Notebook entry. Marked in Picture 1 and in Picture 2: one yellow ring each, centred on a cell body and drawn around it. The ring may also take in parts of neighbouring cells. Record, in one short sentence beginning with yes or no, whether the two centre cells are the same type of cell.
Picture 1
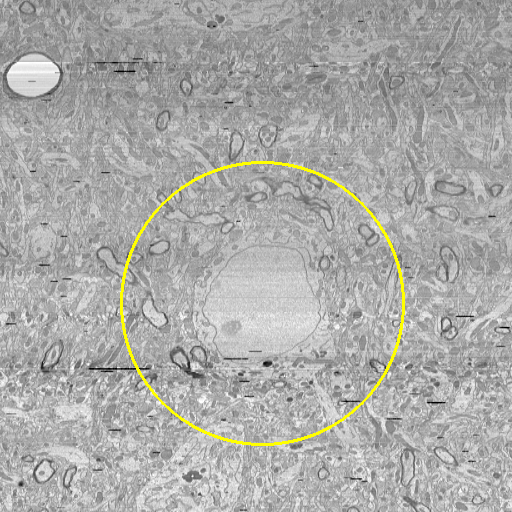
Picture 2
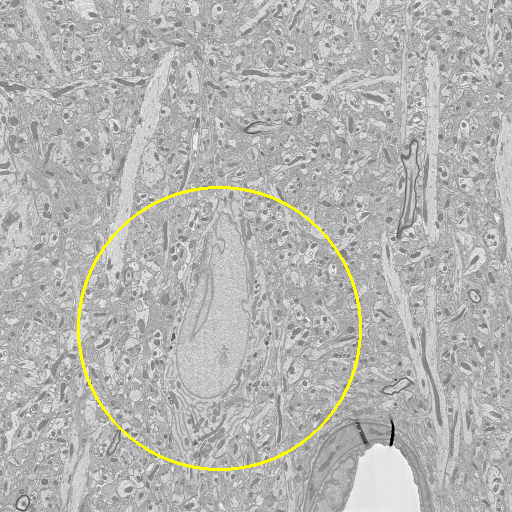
No, they are two types of cell.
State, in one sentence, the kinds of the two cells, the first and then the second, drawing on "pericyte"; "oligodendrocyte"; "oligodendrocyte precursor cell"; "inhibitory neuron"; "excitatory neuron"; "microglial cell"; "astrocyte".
The ring in the second picture is centred on an inhibitory neuron, the ring in the first on an excitatory neuron.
